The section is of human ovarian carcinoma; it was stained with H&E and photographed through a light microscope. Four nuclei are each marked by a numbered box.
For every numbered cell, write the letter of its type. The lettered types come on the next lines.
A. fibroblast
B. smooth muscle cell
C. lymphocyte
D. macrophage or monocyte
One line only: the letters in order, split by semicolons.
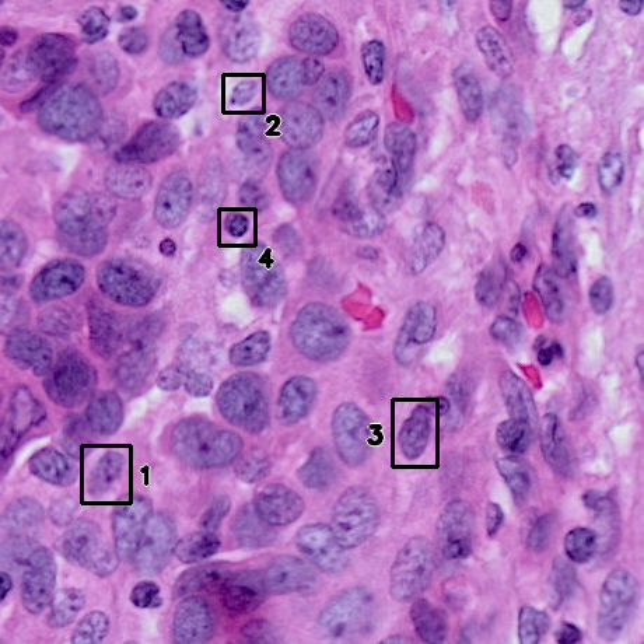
D; D; D; C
